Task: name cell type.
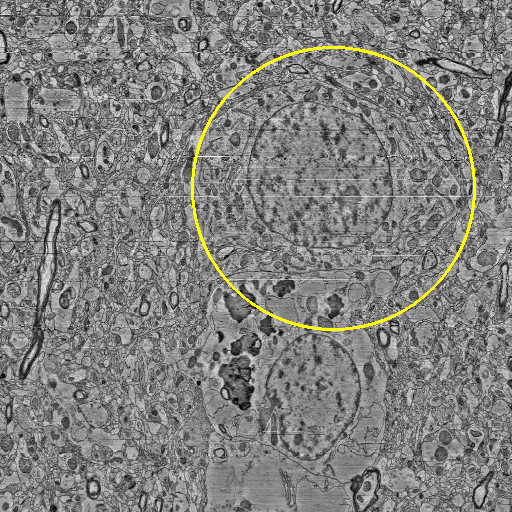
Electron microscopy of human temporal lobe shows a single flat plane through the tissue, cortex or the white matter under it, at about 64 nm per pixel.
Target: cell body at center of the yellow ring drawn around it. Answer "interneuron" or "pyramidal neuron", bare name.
interneuron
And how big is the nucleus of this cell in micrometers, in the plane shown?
Roughly 10 micrometers across, in this plane.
